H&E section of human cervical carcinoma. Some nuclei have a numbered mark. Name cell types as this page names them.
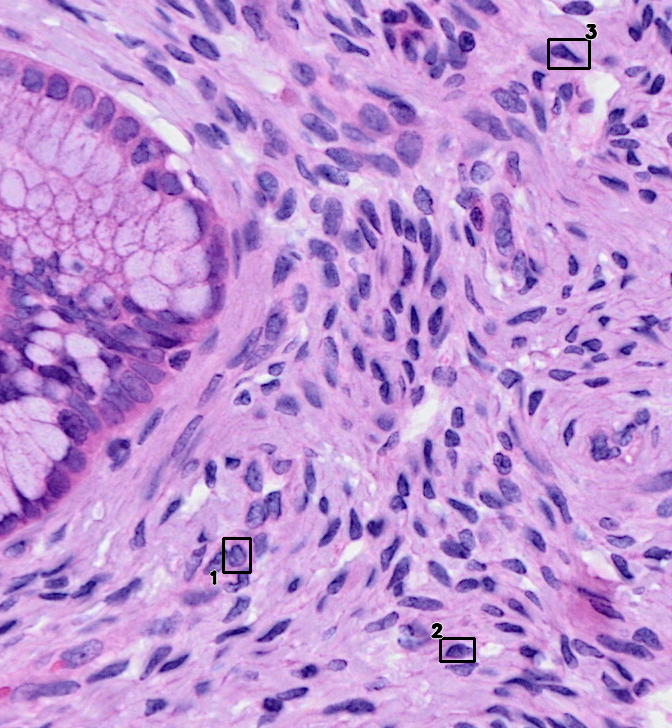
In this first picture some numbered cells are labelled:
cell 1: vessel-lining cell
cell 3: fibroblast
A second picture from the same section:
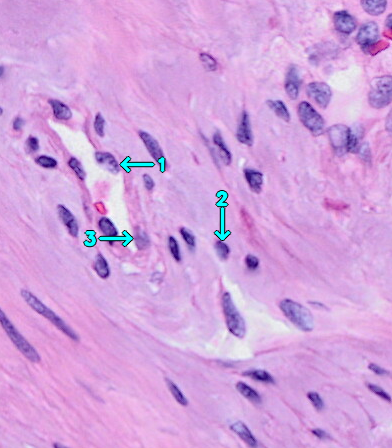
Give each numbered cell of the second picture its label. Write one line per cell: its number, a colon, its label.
1: vessel-lining cell
2: fibroblast
3: vessel-lining cell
